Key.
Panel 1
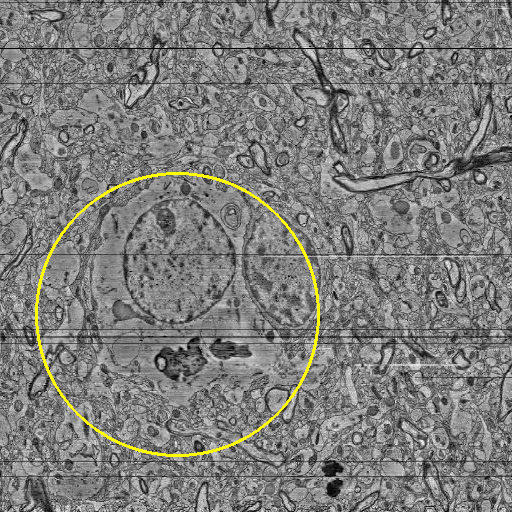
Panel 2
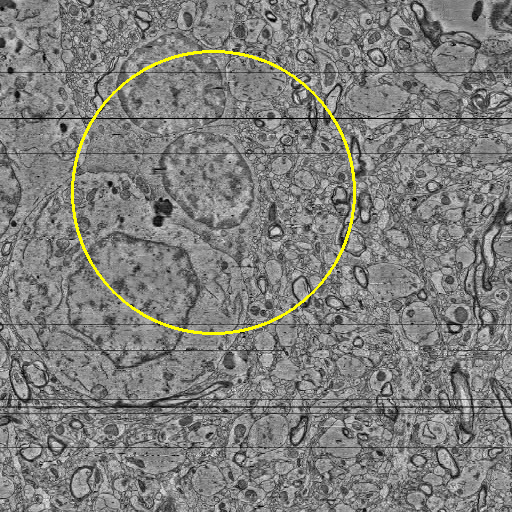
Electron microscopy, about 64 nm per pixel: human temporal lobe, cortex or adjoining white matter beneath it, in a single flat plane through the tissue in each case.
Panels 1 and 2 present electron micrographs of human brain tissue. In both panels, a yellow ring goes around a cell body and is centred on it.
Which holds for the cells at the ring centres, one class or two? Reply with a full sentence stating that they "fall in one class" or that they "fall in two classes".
Taken together, the ring-centre cells of the two panels fall in two classes.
